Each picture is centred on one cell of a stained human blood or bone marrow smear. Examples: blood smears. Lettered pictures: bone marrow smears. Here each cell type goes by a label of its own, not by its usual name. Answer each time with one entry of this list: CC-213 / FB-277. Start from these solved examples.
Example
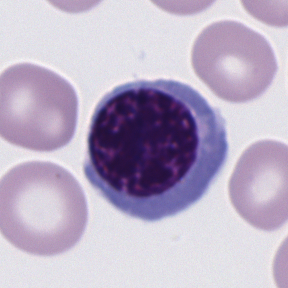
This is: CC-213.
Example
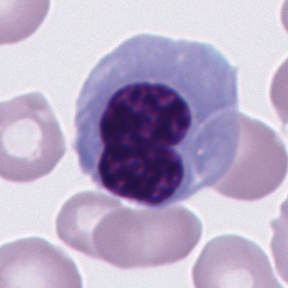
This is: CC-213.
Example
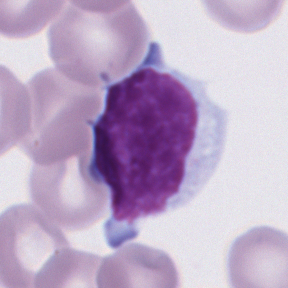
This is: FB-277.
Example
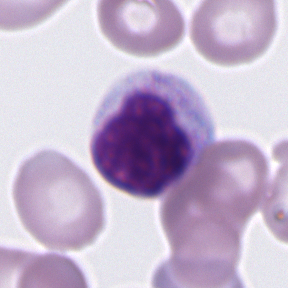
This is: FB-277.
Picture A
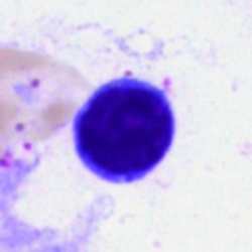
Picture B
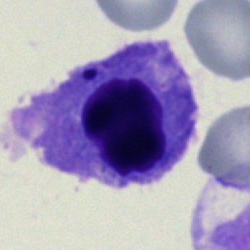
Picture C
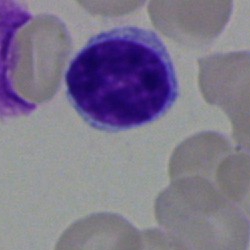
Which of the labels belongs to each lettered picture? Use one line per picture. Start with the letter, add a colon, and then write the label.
A: FB-277.
B: CC-213.
C: FB-277.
